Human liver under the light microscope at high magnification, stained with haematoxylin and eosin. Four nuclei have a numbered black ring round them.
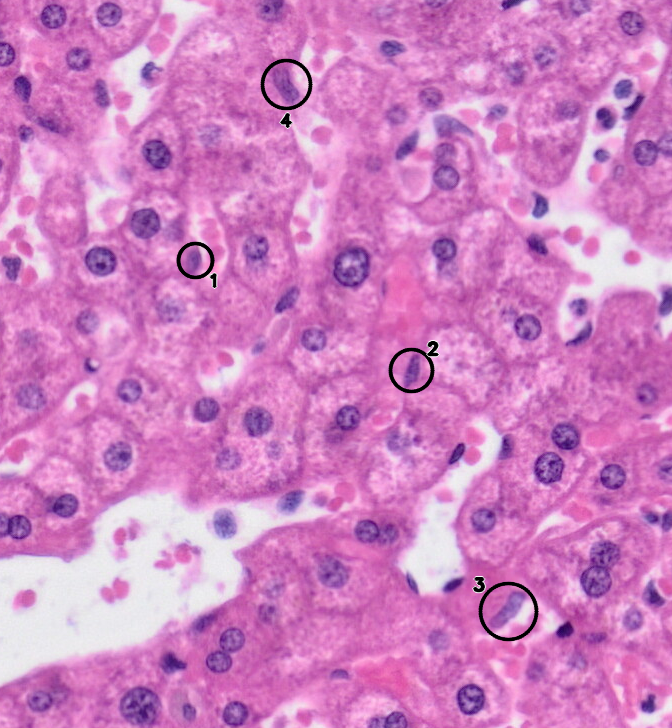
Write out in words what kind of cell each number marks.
Cells 1, 3 and 4 are Kupffer cells. Cell 2 is a fibroblast or stellate cell.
